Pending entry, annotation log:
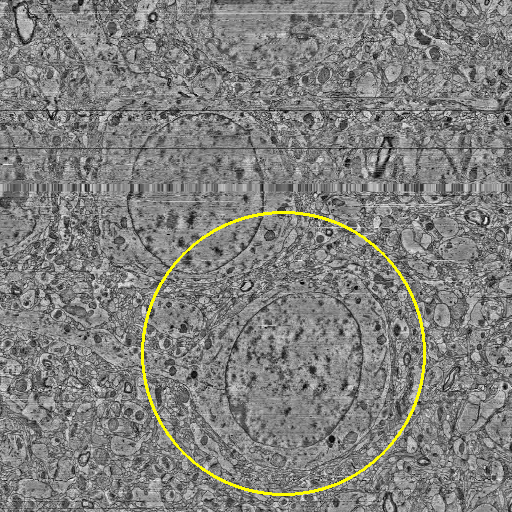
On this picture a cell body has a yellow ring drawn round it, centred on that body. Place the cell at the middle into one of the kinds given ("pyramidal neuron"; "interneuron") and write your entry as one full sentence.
The cell body at the middle of the yellow ring belongs to a pyramidal neuron.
